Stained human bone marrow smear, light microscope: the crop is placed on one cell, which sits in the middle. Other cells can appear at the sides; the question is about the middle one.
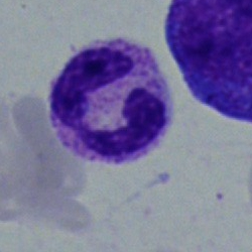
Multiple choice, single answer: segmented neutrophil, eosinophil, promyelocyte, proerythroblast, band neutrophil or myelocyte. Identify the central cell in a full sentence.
In the middle of this smear crop is a segmented neutrophil.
